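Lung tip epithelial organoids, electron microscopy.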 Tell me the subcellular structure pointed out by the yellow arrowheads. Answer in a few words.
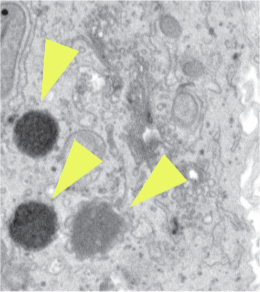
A: vesicles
